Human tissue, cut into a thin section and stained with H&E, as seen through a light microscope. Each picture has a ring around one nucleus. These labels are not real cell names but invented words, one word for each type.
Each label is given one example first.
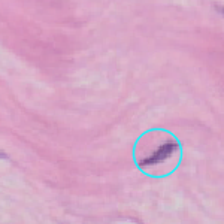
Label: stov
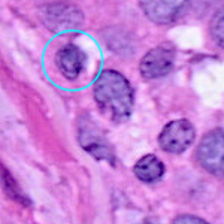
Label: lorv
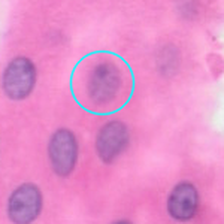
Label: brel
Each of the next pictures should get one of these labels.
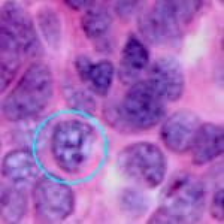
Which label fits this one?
lorv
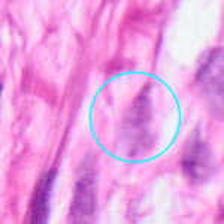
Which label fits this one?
stov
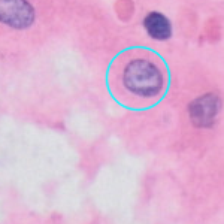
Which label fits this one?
brel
